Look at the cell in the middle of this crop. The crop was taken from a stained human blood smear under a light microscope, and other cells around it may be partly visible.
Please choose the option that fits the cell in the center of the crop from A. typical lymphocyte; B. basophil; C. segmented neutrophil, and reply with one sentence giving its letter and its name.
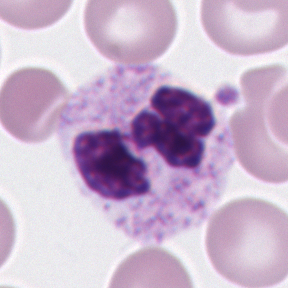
Option C is right, the centrally situated cell being a segmented neutrophil.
